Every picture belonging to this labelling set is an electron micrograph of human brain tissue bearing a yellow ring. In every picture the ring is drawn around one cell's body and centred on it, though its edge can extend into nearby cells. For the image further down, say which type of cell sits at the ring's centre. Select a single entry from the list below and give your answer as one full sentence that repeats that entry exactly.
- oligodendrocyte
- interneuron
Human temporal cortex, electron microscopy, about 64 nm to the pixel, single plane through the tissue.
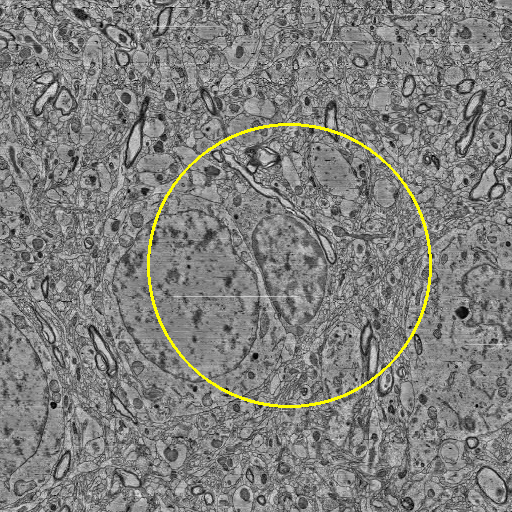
In the picture, an oligodendrocyte is the cell at the centre of the yellow ring.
